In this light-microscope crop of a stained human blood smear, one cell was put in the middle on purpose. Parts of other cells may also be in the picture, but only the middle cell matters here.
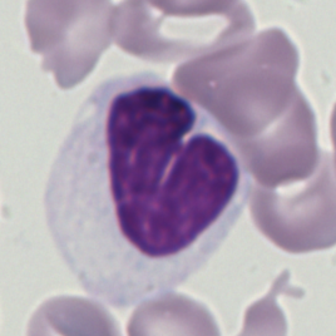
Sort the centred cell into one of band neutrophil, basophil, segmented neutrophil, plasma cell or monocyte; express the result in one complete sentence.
The cell shown in the center of this light-microscope crop is a band neutrophil.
